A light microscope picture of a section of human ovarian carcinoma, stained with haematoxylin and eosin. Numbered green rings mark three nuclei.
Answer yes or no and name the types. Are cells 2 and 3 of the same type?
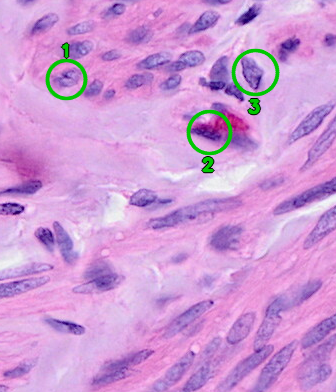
No, cell 2 is an endothelial cell, and cell 3, on the other hand, is a fibroblast.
